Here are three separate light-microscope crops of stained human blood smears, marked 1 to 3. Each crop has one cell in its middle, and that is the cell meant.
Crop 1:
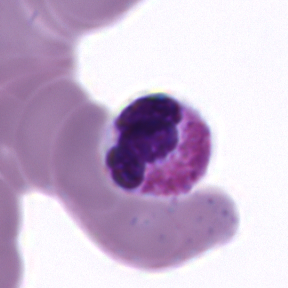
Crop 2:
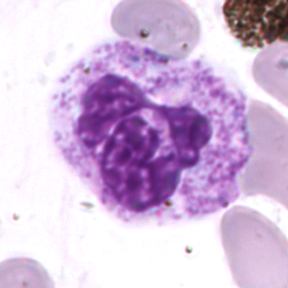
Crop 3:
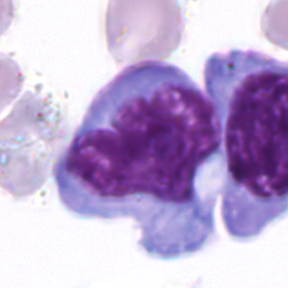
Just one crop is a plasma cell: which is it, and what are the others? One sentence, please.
Crop 3 represents a plasma cell, while crop 1 is an eosinophil and crop 2 is a neutrophil.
